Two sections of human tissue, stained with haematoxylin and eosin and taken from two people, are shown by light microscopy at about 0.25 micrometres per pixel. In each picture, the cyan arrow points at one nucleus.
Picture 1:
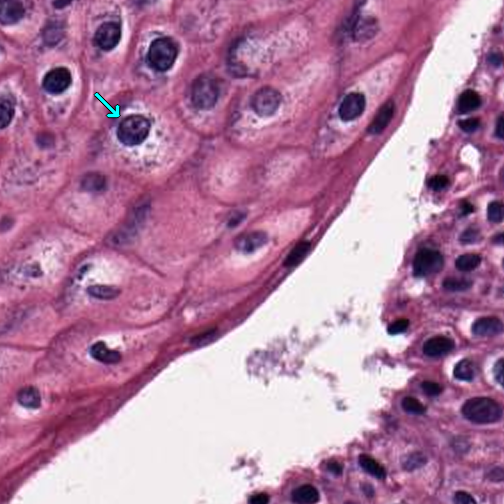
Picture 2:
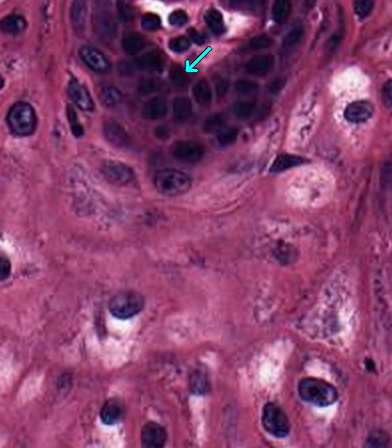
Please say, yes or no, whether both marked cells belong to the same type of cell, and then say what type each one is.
Yes, both are squamous epithelial cells.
